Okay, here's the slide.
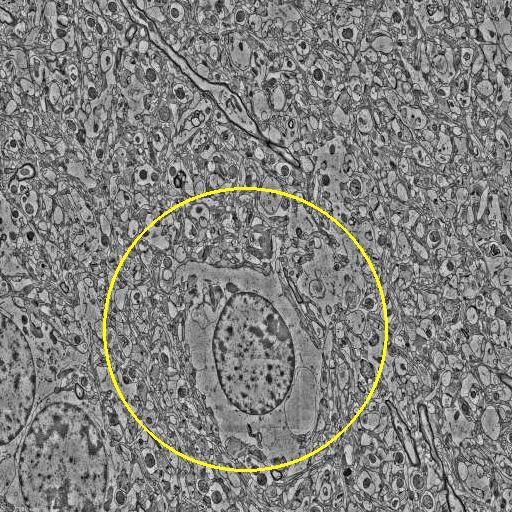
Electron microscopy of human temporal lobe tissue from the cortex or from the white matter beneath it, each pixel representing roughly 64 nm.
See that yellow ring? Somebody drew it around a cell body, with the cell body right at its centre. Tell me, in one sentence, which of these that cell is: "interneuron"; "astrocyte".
The cell in the middle of the ring is an astrocyte.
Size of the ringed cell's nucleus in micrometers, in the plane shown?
In this plane, approximately 8 by 5 micrometers, and clearly longer than it is wide.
